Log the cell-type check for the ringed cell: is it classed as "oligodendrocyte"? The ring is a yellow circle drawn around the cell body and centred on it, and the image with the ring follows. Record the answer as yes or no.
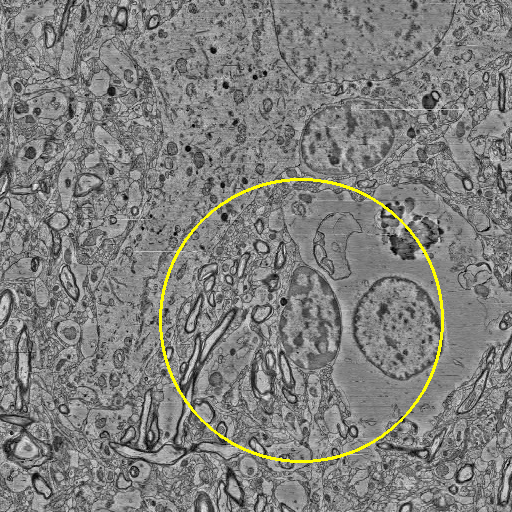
No, it is classed as another type.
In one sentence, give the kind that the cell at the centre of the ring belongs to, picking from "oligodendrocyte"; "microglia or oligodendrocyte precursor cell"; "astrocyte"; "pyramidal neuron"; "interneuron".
Sitting at the ring centre is a microglial cell or oligodendrocyte precursor cell.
